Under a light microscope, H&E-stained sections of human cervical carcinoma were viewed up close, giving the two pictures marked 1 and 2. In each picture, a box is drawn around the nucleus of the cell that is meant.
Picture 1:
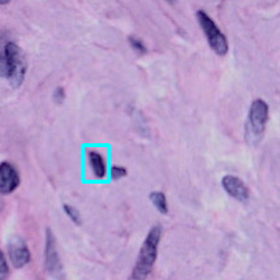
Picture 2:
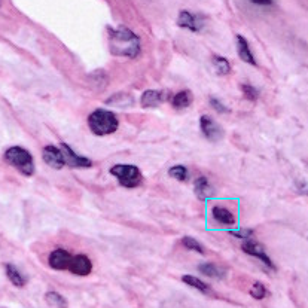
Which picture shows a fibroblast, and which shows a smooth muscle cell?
1: fibroblast
2: smooth muscle cell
